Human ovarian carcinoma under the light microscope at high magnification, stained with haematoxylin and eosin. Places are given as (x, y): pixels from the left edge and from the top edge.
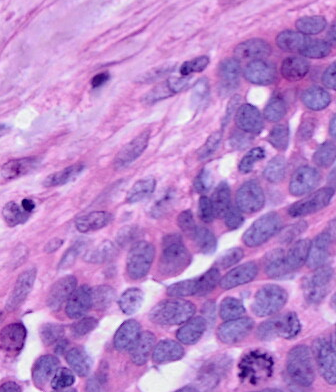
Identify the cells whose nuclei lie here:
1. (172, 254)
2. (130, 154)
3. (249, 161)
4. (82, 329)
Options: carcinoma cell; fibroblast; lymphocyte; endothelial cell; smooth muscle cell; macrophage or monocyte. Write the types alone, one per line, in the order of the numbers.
carcinoma cell
fibroblast
macrophage or monocyte
carcinoma cell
